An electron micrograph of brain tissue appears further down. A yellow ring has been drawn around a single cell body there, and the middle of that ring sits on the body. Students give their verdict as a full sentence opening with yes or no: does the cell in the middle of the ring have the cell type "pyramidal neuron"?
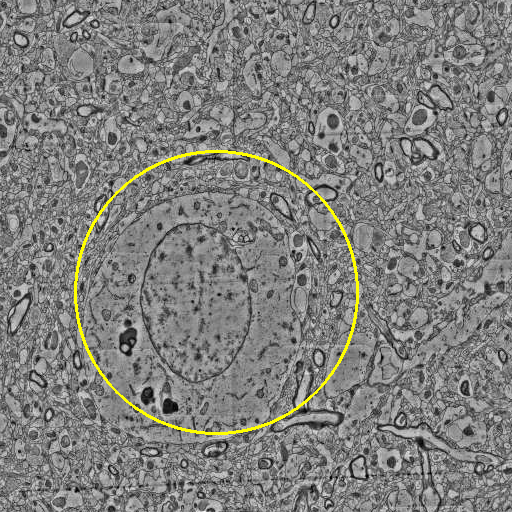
Yes, in this picture the cell sitting at the middle of the ring has that cell type.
